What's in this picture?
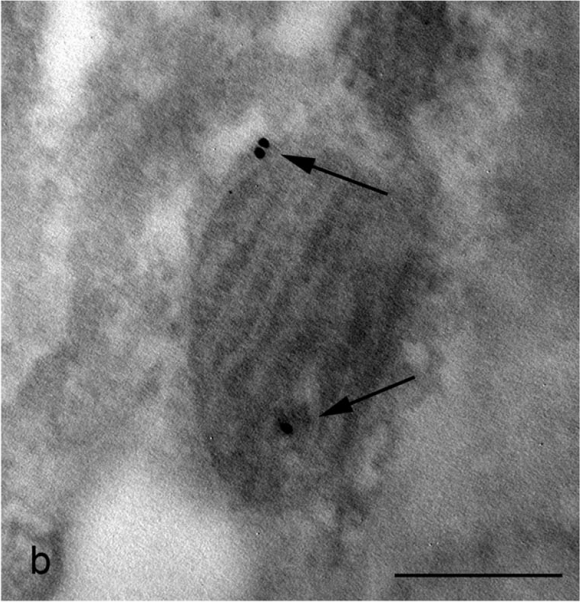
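A single oval organelle with parallel internal striations lies in grey cytoplasm, with a pair of black dots at its upper edge and one black dot inside it. This is a mitochondrion with gold granules on its outer membrane and in its matrix.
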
